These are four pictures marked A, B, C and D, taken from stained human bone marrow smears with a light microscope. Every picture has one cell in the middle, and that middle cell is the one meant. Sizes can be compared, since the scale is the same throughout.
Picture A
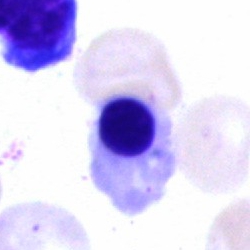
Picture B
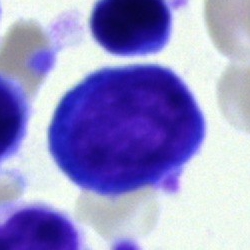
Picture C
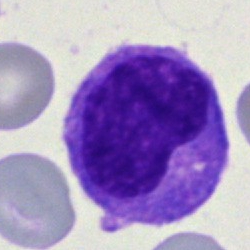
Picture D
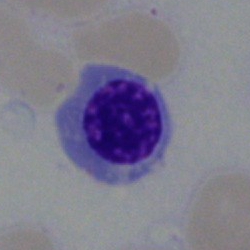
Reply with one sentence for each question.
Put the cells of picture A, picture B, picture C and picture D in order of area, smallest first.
The order is A, D, B, C, beginning with the smallest.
